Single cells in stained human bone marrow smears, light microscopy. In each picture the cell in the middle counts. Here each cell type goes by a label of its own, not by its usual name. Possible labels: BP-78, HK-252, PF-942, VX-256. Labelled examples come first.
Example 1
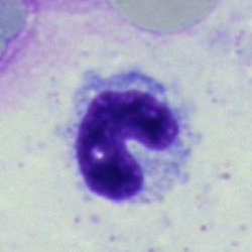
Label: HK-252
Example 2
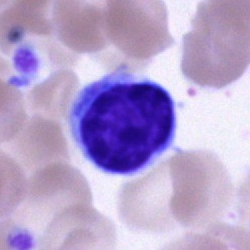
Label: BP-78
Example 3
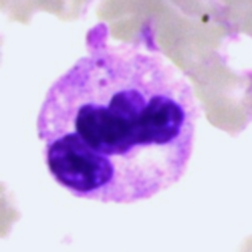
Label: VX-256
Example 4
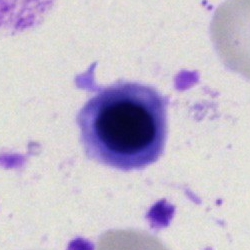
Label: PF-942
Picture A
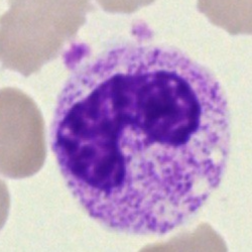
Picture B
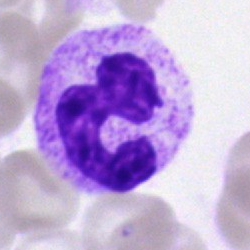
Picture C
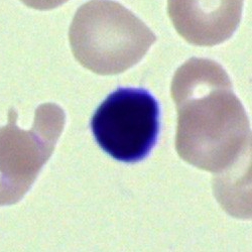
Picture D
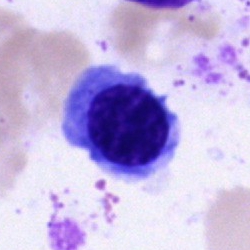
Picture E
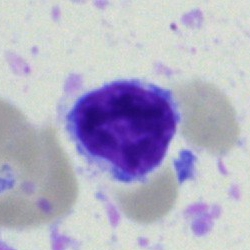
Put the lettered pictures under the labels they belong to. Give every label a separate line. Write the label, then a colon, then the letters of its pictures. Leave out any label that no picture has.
BP-78: C, E
HK-252: A
PF-942: D
VX-256: B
